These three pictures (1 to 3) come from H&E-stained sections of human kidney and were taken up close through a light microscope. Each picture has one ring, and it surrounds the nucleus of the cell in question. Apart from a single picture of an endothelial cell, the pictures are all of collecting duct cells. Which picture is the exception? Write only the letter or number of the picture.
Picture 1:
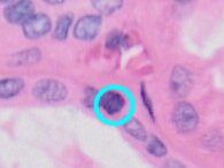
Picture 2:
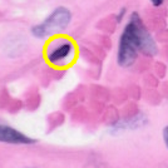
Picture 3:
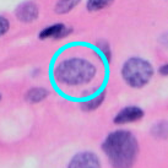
2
